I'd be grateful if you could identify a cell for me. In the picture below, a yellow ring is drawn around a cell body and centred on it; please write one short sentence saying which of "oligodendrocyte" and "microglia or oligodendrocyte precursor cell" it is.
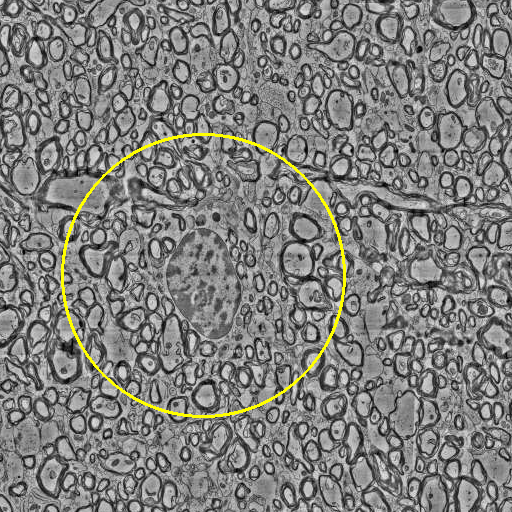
The cell under the ring's centre is a microglial cell or oligodendrocyte precursor cell.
